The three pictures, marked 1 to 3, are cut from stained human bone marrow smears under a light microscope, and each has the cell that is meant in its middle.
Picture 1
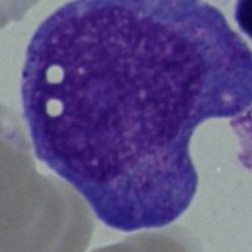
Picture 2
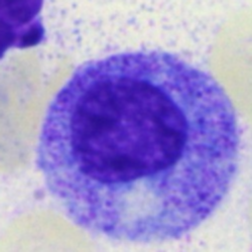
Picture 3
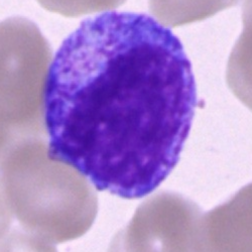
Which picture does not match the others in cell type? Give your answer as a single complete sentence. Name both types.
All pictures except 2 show promyelocytes; picture 2 shows a myelocyte.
